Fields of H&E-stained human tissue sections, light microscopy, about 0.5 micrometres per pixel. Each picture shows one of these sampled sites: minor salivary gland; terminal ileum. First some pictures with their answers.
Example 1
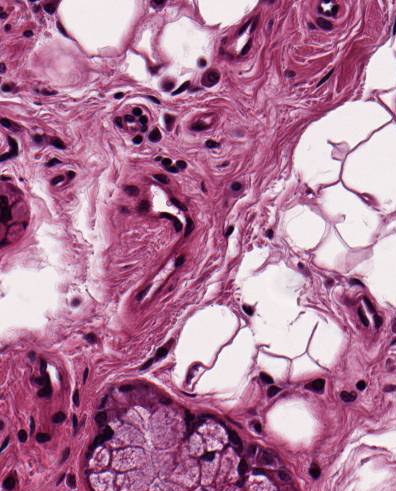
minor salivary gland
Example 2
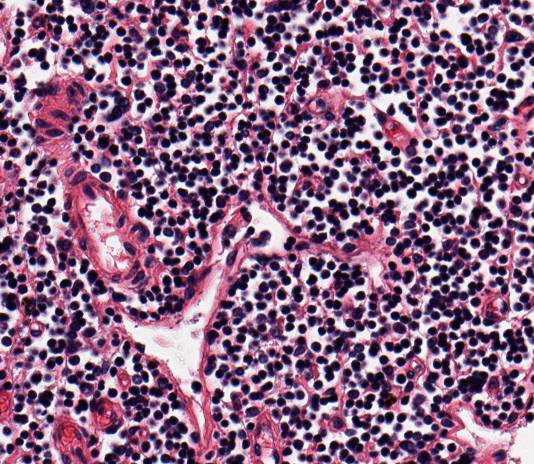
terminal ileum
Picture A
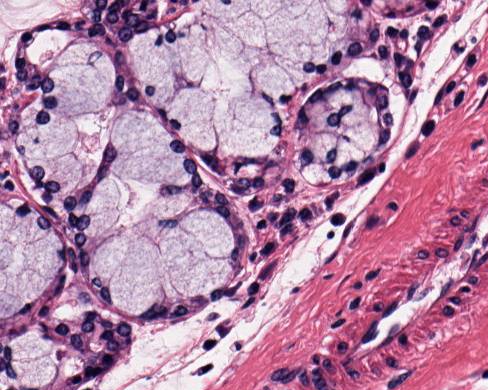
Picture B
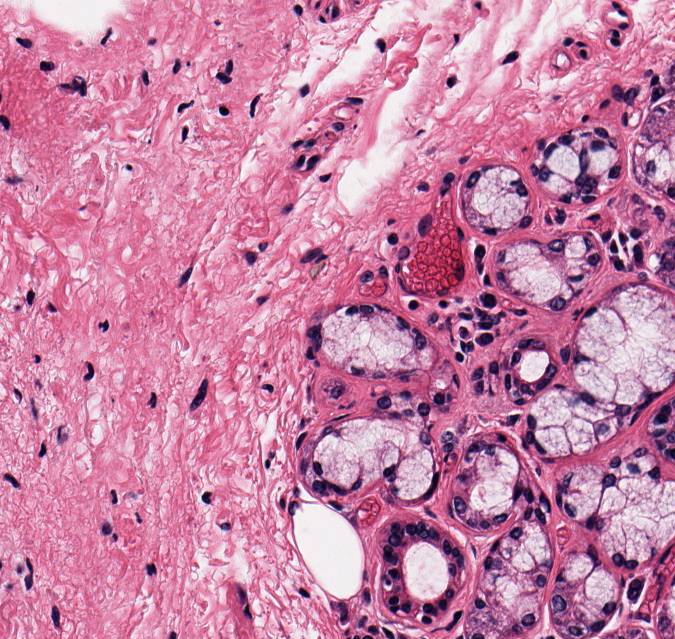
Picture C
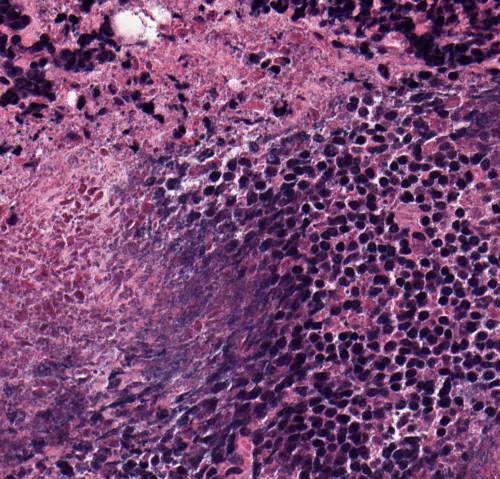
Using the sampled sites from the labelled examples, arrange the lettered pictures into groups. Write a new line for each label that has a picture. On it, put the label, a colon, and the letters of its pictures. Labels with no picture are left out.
minor salivary gland: A, B
terminal ileum: C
